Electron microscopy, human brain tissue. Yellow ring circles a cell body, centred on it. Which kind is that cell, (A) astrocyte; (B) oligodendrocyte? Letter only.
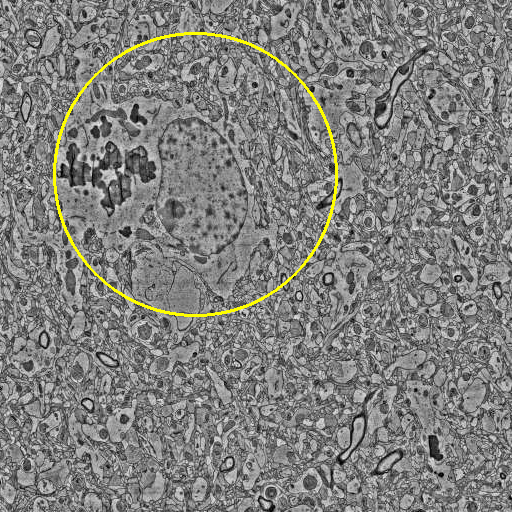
A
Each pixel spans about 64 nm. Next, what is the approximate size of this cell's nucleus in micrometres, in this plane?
About 9 by 6 micrometres in this plane; clearly longer than it is wide.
